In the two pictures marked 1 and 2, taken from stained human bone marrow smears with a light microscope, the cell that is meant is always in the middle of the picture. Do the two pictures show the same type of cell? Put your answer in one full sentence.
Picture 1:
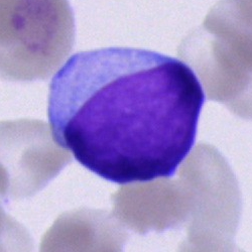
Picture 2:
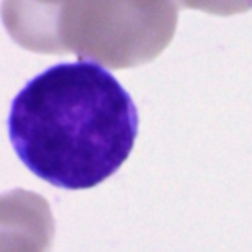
Yes; the cells in both pictures are blasts.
